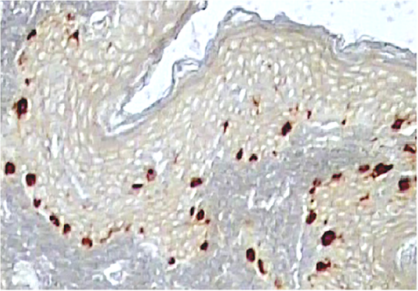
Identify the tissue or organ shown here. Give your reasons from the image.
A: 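A band of layered, tightly packed cells forms the surface. A flattened layer lies on top of the cell band. Looser grey-blue connective tissue lies beneath the band. The answer: epidermis.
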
